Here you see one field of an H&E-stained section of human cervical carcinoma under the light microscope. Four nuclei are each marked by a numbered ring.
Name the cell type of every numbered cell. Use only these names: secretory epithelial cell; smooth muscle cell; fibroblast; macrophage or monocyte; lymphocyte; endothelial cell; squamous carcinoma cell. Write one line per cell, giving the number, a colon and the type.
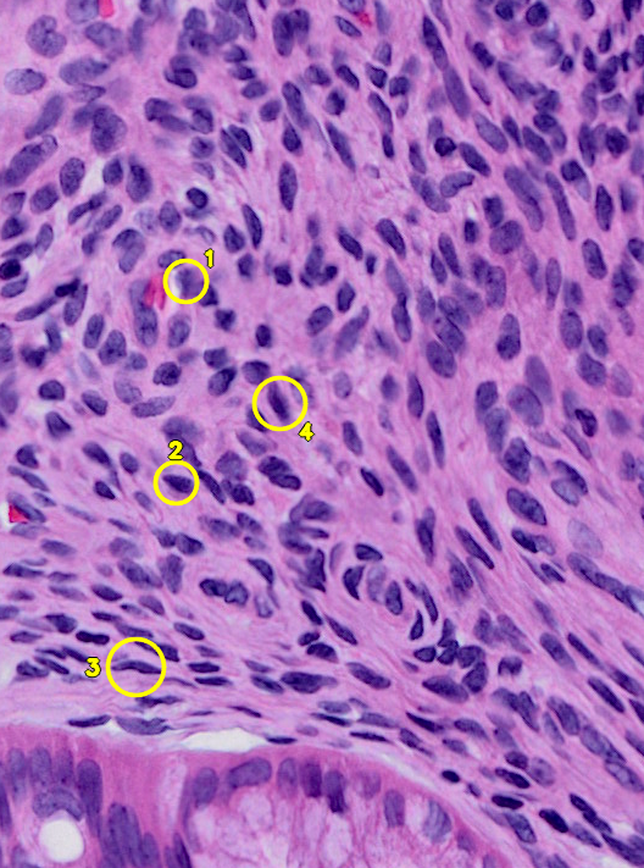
1: endothelial cell
2: fibroblast
3: fibroblast
4: fibroblast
